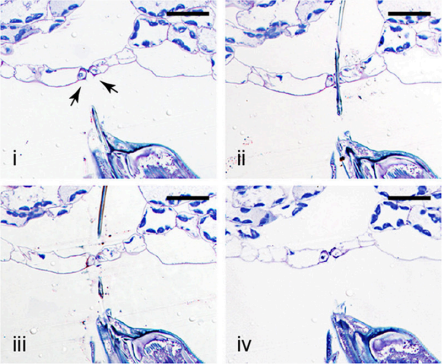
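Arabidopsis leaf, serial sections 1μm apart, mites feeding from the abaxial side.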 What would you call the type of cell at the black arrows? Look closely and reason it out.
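Guard cells. Two small paired cells sit in the lower epidermal layer of the first section. The paired cells are much smaller than the neighbouring epidermal cells. A fine needle-like structure passes through the epidermis at this site in the following sections.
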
